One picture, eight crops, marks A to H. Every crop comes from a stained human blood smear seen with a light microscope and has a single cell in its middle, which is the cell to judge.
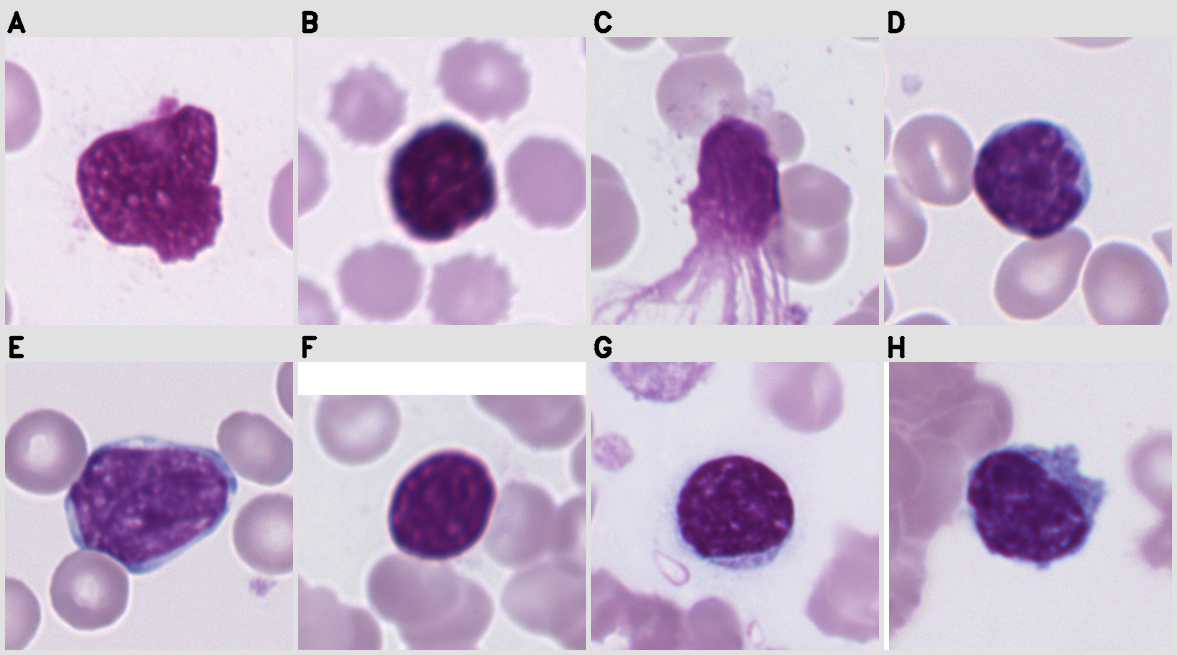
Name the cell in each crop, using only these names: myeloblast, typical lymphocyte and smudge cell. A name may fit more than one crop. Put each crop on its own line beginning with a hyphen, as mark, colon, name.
- A: smudge cell
- B: typical lymphocyte
- C: smudge cell
- D: typical lymphocyte
- E: myeloblast
- F: smudge cell
- G: typical lymphocyte
- H: typical lymphocyte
